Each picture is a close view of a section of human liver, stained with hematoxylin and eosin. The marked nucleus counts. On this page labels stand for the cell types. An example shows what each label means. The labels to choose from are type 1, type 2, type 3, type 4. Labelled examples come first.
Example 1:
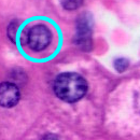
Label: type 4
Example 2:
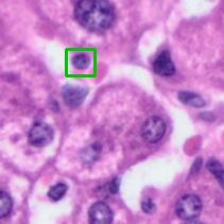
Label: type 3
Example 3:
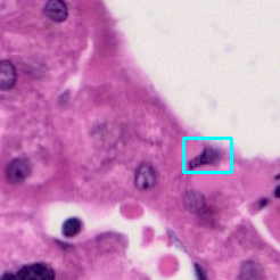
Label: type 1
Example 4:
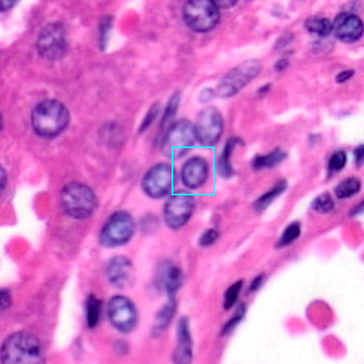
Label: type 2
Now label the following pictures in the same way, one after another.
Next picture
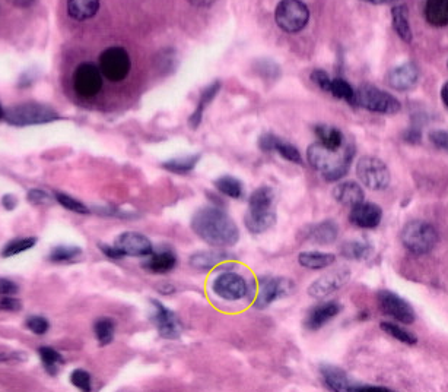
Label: type 2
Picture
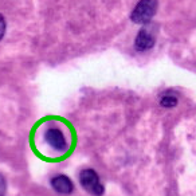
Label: type 3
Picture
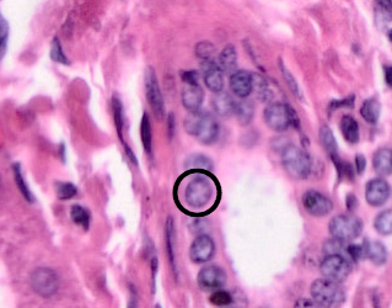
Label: type 2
